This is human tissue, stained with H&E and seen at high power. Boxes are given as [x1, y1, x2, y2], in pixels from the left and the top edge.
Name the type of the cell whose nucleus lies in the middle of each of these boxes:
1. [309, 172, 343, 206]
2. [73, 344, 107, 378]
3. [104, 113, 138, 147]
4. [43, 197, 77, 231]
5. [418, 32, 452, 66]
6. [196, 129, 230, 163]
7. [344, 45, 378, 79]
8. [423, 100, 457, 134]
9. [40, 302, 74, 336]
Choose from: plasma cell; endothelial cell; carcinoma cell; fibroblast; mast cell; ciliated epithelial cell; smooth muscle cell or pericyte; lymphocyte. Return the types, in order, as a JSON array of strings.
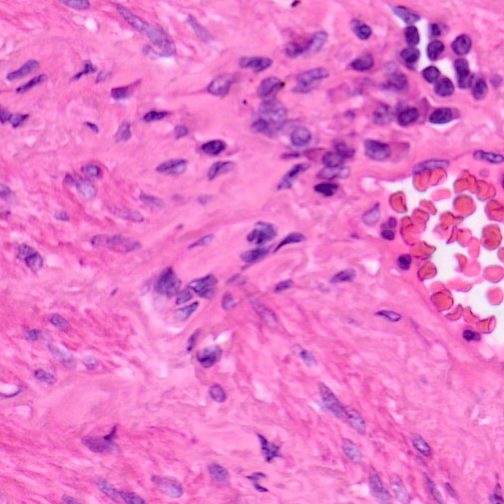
["plasma cell", "smooth muscle cell or pericyte", "fibroblast", "smooth muscle cell or pericyte", "lymphocyte", "plasma cell", "plasma cell", "plasma cell", "smooth muscle cell or pericyte"]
